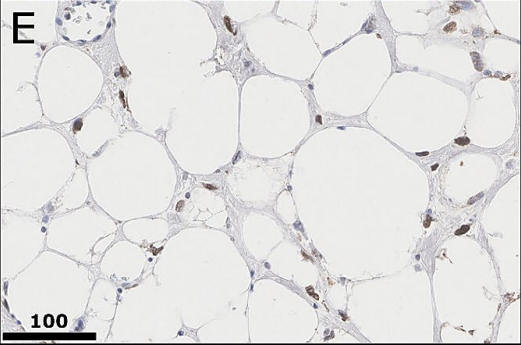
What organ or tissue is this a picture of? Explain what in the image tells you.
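Mostly mature-looking fat cells with clear vacuoles of varying size. Thin fibrous septa between the fat cells. Scattered enlarged, dark nuclei within the septa. The answer: well differentiated liposarcoma.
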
